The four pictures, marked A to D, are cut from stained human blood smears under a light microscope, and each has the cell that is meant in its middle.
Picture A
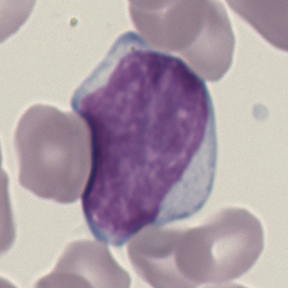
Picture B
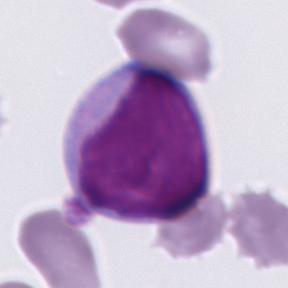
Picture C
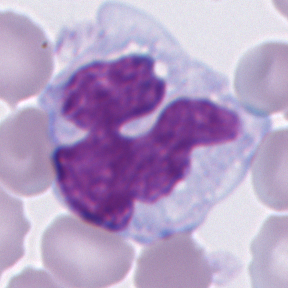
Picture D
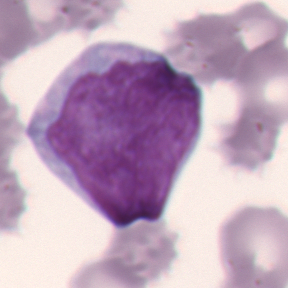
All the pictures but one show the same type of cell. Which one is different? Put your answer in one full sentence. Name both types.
Picture C differs, because its cell is a monocyte and the rest are myeloblasts.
